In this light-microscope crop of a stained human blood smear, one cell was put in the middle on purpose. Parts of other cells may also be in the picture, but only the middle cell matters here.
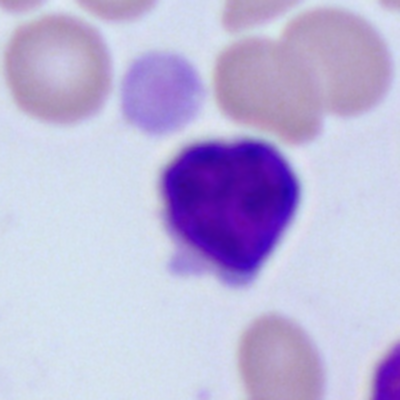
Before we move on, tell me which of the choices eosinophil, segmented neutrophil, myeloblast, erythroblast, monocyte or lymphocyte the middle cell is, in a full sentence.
Of the cells in this crop, the central one is a lymphocyte.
